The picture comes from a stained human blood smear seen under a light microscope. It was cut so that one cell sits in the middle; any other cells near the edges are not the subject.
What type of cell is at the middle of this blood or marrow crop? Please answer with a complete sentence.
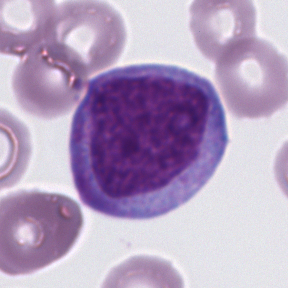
The middle cell in this particular crop is an atypical promyelocyte.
